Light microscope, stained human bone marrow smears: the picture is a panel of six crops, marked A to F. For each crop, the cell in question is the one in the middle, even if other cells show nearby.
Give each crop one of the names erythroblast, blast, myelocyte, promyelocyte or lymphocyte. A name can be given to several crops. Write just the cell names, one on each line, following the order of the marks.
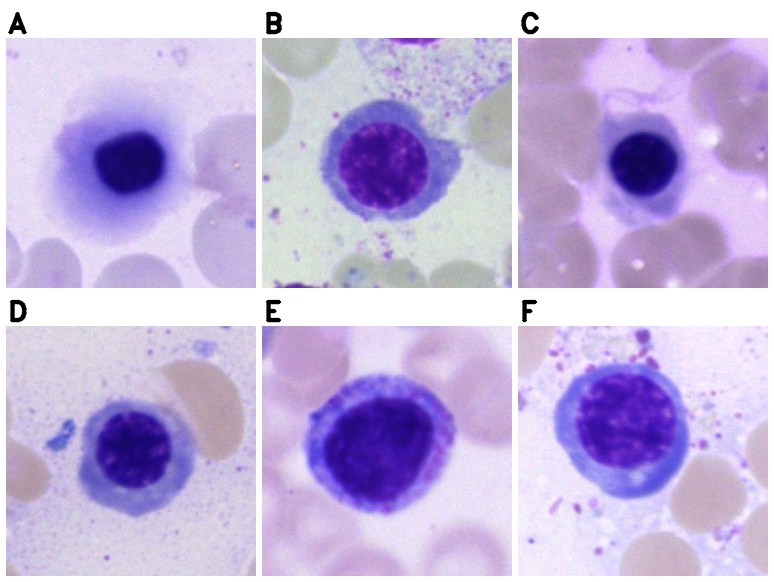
erythroblast
erythroblast
erythroblast
erythroblast
myelocyte
erythroblast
